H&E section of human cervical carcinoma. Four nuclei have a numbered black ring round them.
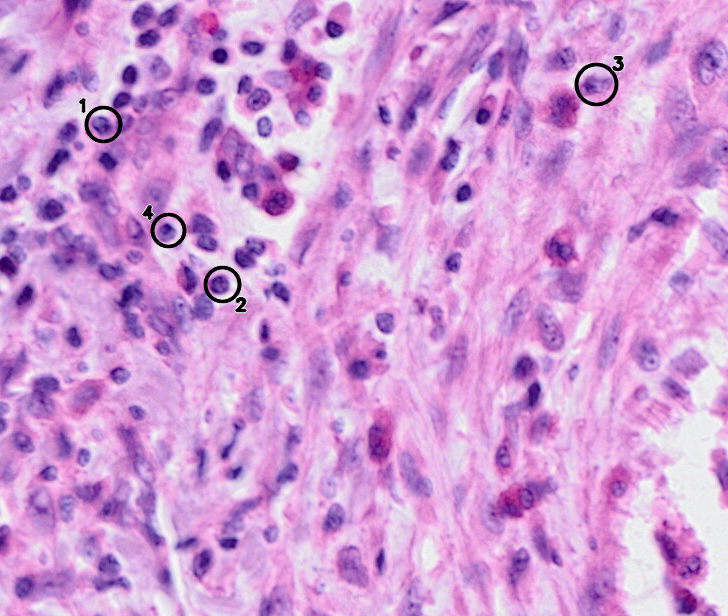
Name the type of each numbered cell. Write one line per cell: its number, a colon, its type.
1: lymphocyte
2: lymphocyte
3: macrophage or monocyte
4: lymphocyte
